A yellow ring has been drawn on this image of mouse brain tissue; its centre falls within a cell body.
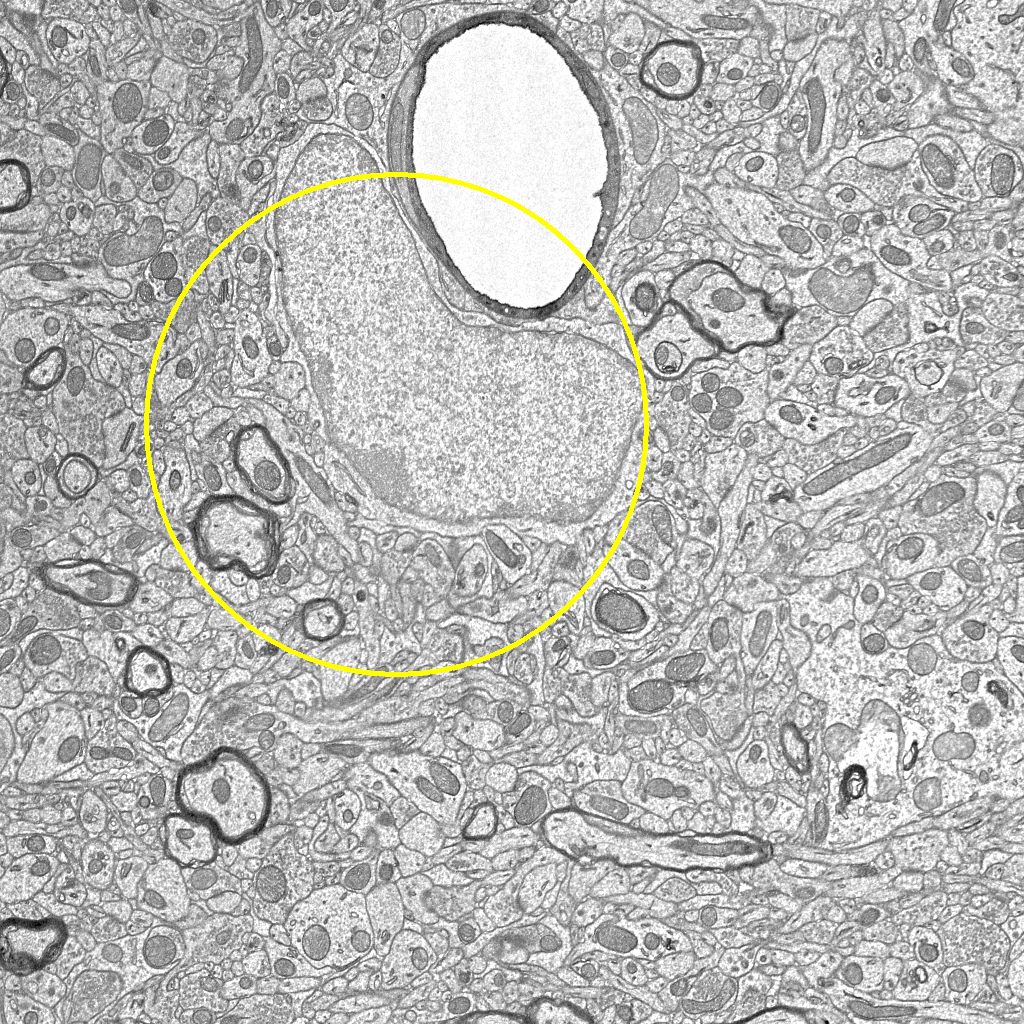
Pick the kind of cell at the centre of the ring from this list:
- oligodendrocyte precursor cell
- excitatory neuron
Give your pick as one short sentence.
The centre of the ring holds an oligodendrocyte precursor cell.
